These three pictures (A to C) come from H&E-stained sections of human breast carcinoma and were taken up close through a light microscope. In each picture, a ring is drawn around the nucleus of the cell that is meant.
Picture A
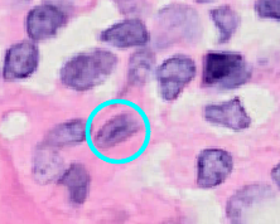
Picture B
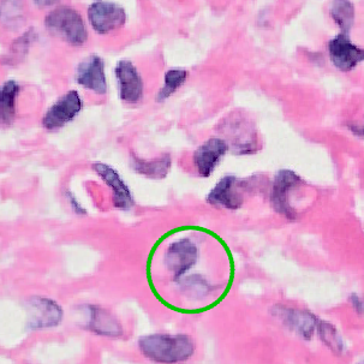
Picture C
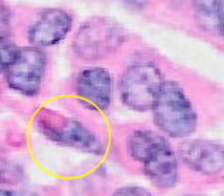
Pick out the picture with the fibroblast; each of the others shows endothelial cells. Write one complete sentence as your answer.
Picture B shows the fibroblast.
